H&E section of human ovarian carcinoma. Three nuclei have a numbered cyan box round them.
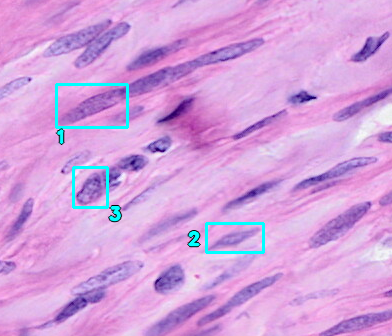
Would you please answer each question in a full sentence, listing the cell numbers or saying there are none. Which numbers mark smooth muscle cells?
To be specific, the cells numbered 1 and 2 are smooth muscle cells.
